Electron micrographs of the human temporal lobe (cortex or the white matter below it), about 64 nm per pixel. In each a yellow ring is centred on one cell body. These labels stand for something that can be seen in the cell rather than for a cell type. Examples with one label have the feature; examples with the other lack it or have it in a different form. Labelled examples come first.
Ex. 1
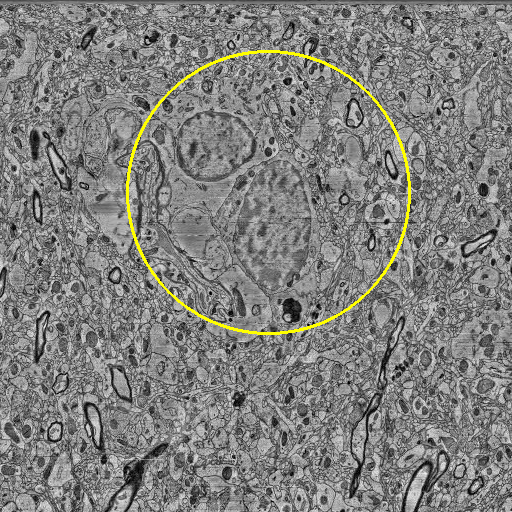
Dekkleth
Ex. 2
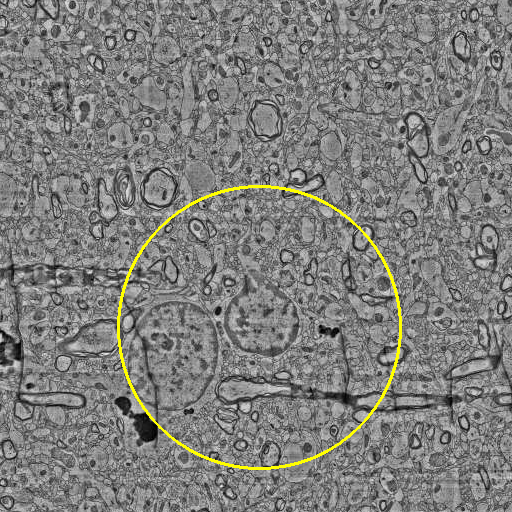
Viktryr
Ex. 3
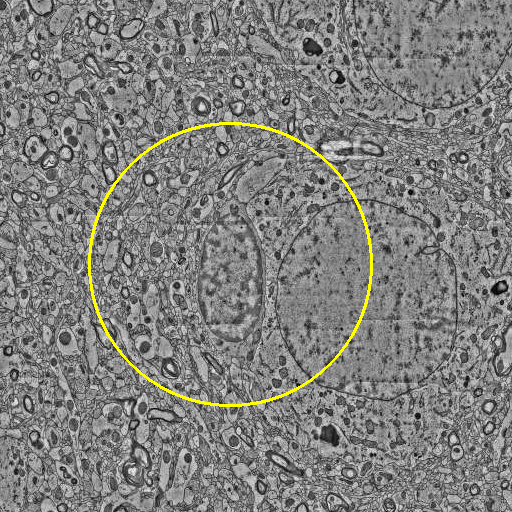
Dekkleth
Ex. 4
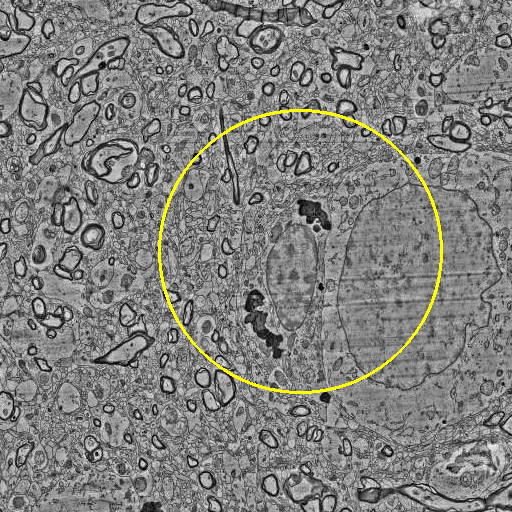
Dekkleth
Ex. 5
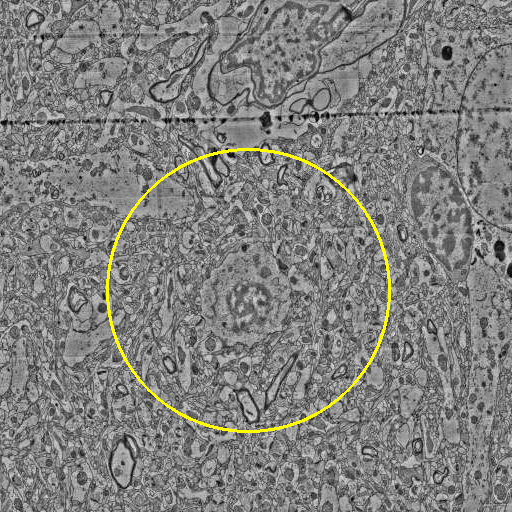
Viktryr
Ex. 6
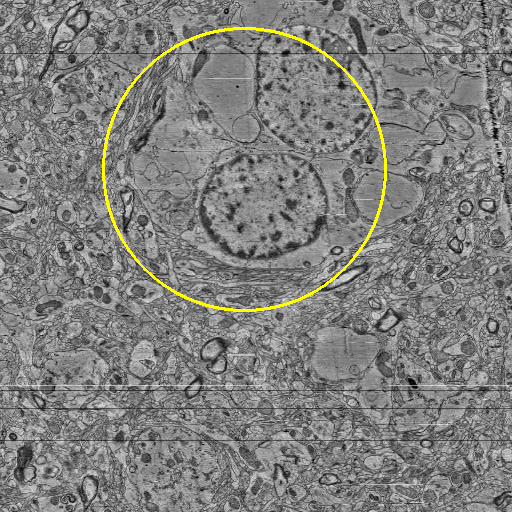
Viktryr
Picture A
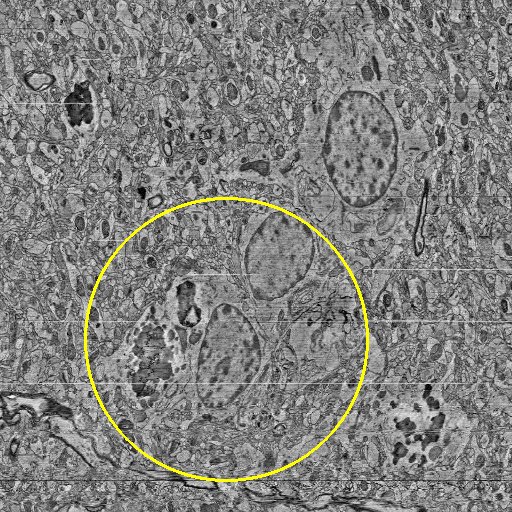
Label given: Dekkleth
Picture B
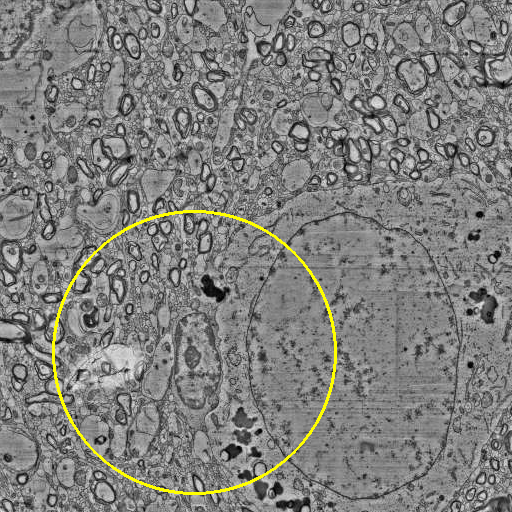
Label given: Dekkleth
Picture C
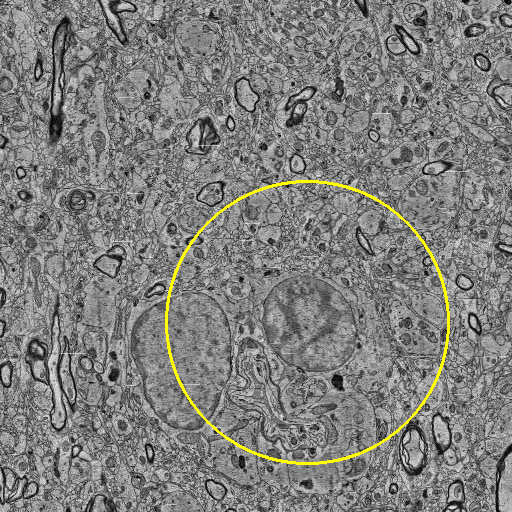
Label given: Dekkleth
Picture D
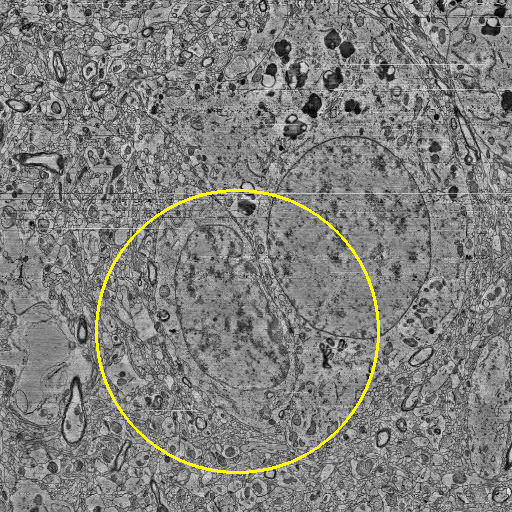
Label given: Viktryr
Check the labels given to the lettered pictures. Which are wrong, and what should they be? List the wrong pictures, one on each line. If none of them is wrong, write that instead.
C is labelled Dekkleth; correct label: Viktryr
D is labelled Viktryr; correct label: Dekkleth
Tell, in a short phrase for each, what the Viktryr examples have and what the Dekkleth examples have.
In Viktryr: round or nearly round nuclei. In Dekkleth: clearly elongated nuclei.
